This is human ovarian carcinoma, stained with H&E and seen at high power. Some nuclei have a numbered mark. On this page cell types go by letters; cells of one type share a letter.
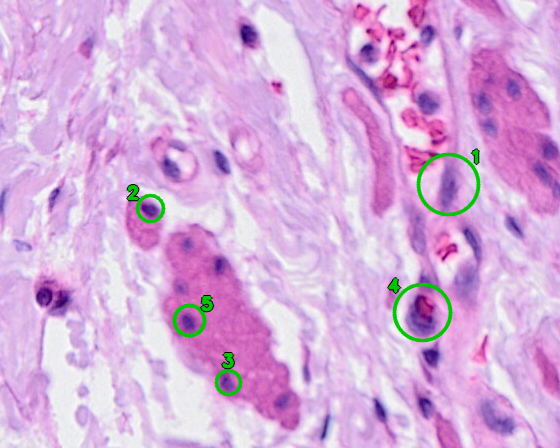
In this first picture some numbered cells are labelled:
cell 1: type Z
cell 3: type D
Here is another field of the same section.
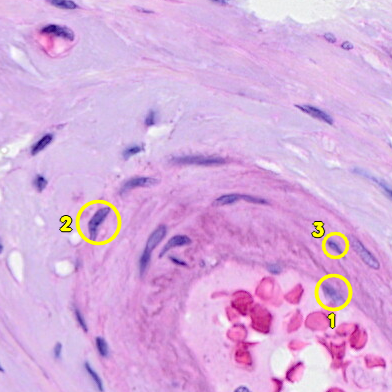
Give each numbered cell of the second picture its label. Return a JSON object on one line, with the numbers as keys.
{"1": "type Z", "2": "type D", "3": "type D"}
